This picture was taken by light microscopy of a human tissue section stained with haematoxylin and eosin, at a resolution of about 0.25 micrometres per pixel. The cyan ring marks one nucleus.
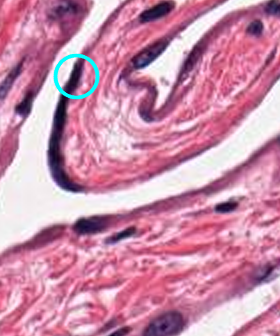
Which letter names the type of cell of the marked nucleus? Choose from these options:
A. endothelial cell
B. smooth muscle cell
A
